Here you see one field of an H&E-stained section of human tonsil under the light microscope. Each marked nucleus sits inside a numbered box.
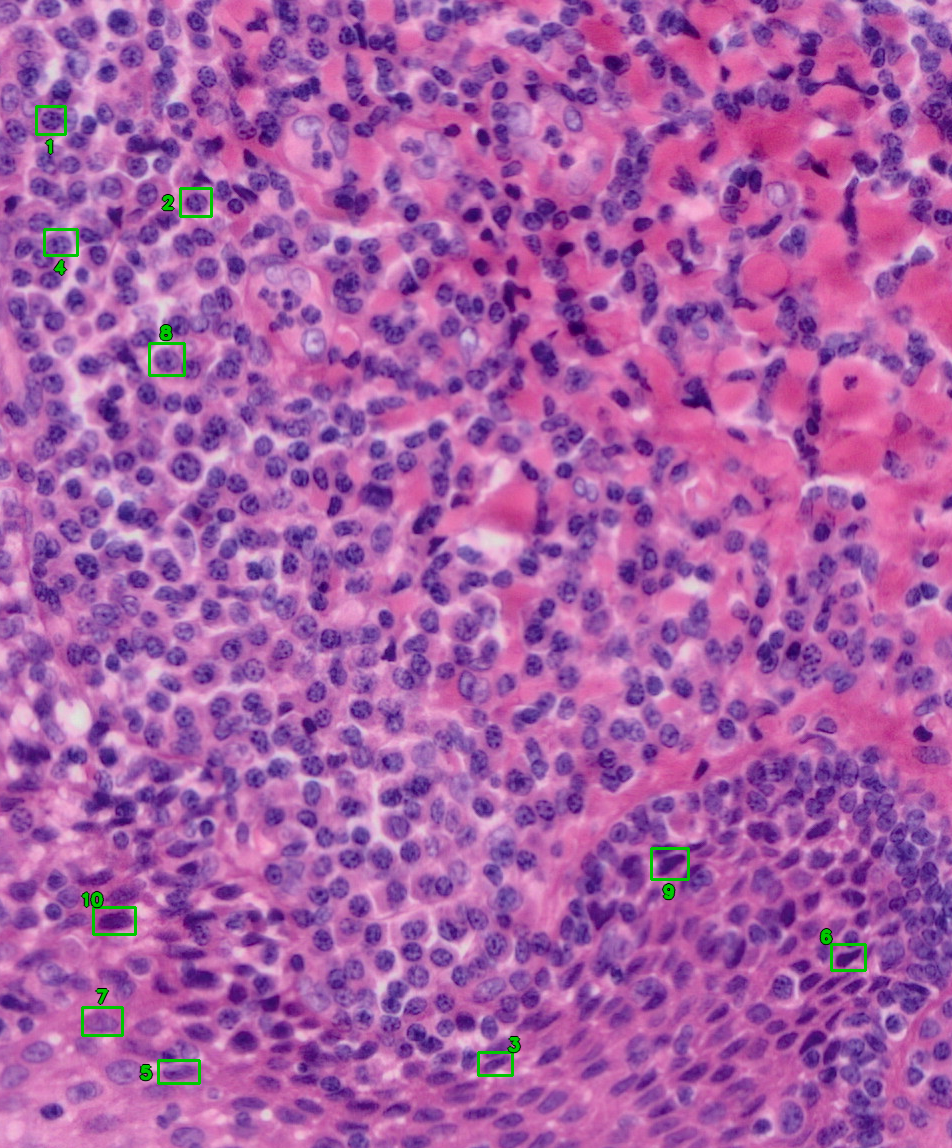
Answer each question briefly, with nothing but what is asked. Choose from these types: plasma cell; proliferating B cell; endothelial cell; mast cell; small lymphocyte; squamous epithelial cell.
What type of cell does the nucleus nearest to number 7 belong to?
squamous epithelial cell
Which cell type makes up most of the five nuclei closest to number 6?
squamous epithelial cell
